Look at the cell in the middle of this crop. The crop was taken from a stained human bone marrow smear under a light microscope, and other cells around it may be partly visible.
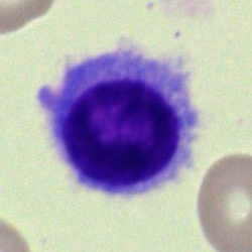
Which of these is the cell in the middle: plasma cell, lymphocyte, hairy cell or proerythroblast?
hairy cell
